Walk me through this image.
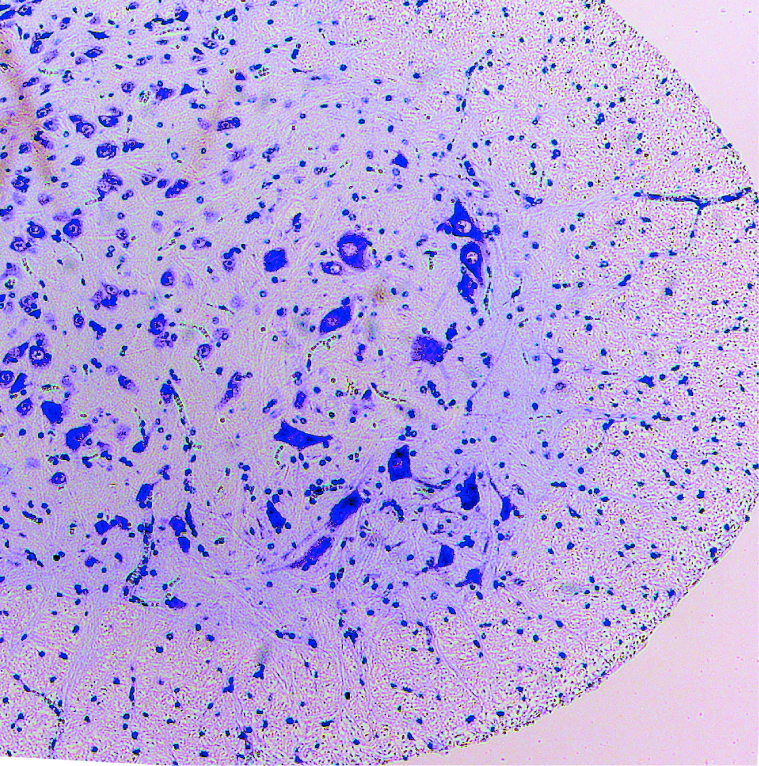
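This is the grey matter of the spinal cord cut across, with large motor neurons lying in the anterior horn. Their cell bodies are big, angular and multipolar, packed with blue-violet Nissl substance, and many show a round pale nucleus with a dark nucleolus in the middle. Around them lie countless small round dark nuclei of glial cells, and towards the curved edge the paler, finely fibrous white matter takes over.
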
